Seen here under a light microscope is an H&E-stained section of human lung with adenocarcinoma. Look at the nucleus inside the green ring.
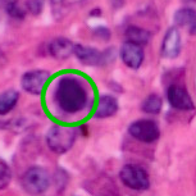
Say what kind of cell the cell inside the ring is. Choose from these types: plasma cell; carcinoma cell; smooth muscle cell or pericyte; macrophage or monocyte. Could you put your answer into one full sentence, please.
The correct response here is that the cell inside the ring is a plasma cell.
